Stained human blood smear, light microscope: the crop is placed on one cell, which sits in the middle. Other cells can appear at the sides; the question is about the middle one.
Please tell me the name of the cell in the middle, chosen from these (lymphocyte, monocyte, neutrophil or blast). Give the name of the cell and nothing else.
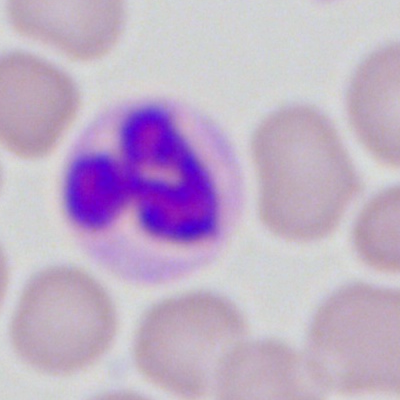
neutrophil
